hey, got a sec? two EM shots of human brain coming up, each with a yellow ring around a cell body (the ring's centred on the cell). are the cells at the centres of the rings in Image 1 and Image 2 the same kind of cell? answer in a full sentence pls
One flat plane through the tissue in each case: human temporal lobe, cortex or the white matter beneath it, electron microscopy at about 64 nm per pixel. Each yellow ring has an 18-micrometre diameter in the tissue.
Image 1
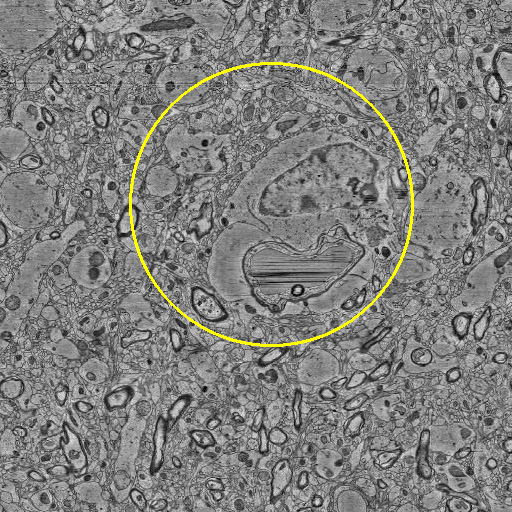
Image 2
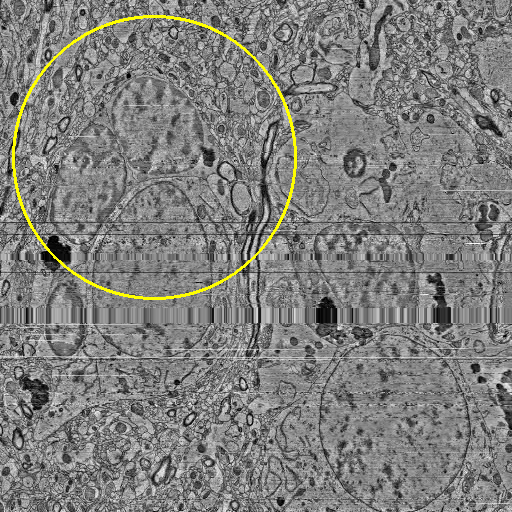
No, they are two kinds of cell.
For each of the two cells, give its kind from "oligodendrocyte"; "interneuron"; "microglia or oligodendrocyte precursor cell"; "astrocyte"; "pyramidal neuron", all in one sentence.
The first picture has a microglial cell or oligodendrocyte precursor cell in its ring, the second has an oligodendrocyte.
